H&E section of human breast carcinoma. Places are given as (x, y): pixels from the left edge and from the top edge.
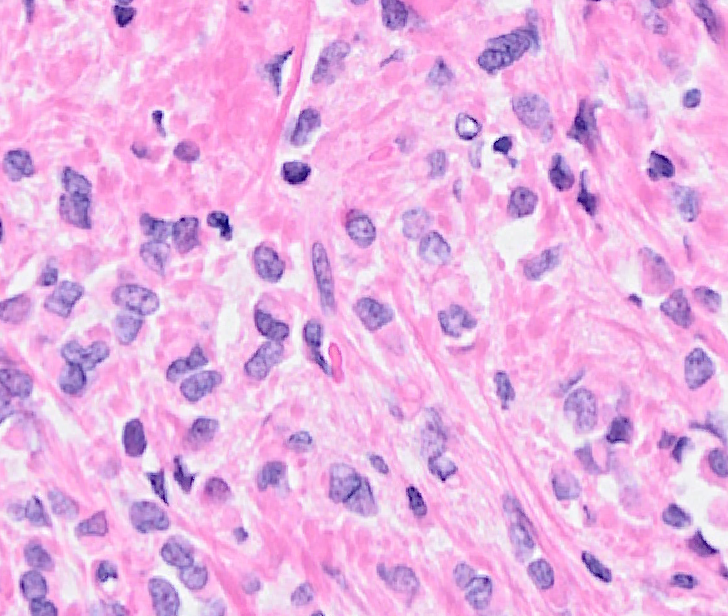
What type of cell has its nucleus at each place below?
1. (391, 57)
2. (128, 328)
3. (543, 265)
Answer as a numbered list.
1. fibroblast
2. carcinoma cell
3. fibroblast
